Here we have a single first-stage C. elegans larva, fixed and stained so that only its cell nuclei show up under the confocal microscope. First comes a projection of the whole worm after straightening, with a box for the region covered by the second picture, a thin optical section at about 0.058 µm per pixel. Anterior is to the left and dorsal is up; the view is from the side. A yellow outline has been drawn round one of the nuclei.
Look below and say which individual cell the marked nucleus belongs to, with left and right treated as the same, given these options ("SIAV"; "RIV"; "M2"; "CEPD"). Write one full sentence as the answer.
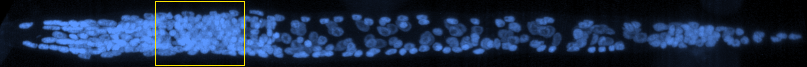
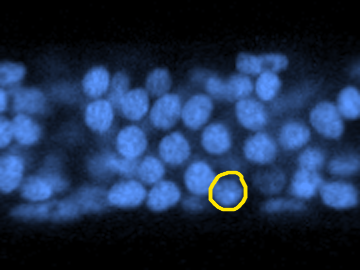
This is the nucleus of SIAV, a neuron.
